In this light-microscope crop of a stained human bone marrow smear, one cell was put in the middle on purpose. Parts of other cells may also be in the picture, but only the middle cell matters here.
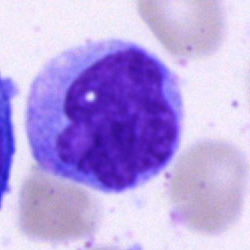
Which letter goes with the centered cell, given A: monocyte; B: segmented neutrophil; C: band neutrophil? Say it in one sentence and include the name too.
For this crop, option A is right, the centered cell being a monocyte.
